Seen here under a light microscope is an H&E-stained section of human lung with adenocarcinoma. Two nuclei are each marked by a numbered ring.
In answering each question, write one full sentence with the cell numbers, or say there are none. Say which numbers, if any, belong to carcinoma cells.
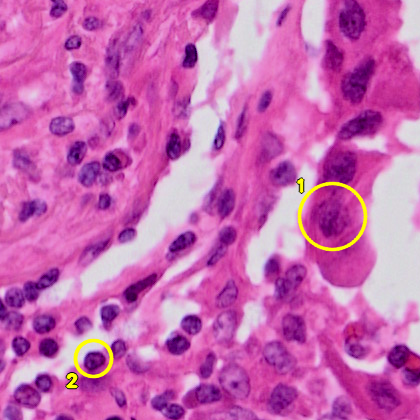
Cell 1 is a carcinoma cell; no further numbered cell is.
